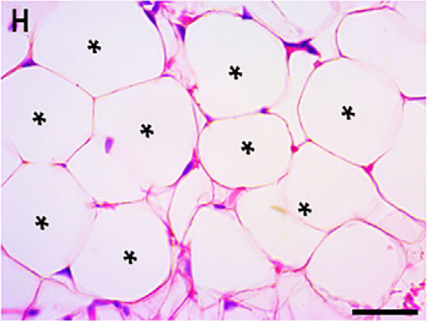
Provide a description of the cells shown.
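This is white adipose tissue in which the adipocytes are greatly enlarged, each appearing as a large empty, rounded-polygonal space bounded by a thin pink rim. Their nuclei are few, flattened and dark purple, pushed to the cell edges, and only small amounts of pink stroma lie at the junctions between cells.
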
